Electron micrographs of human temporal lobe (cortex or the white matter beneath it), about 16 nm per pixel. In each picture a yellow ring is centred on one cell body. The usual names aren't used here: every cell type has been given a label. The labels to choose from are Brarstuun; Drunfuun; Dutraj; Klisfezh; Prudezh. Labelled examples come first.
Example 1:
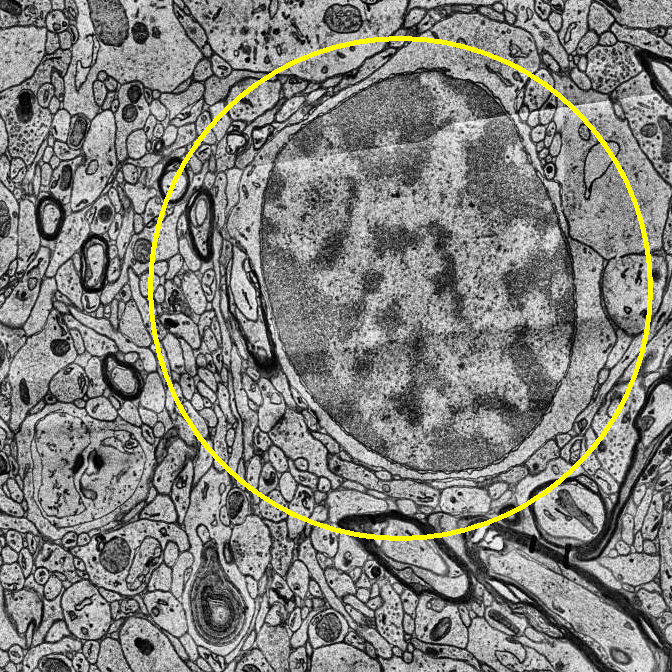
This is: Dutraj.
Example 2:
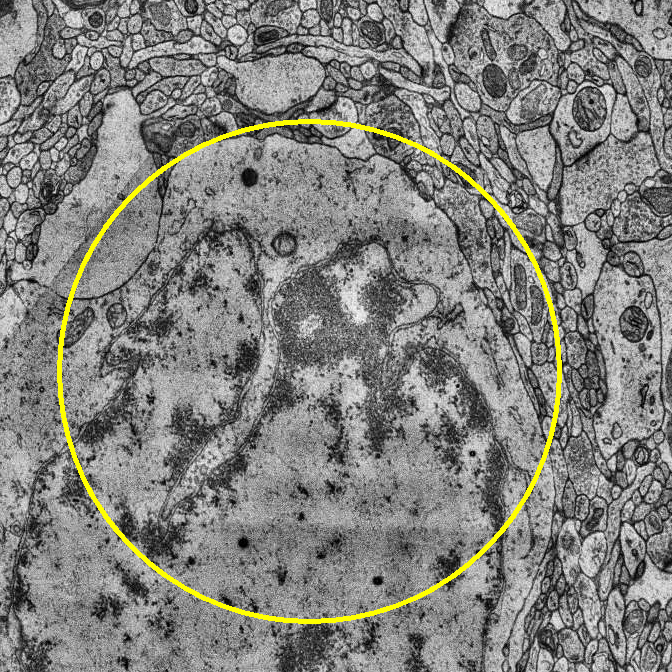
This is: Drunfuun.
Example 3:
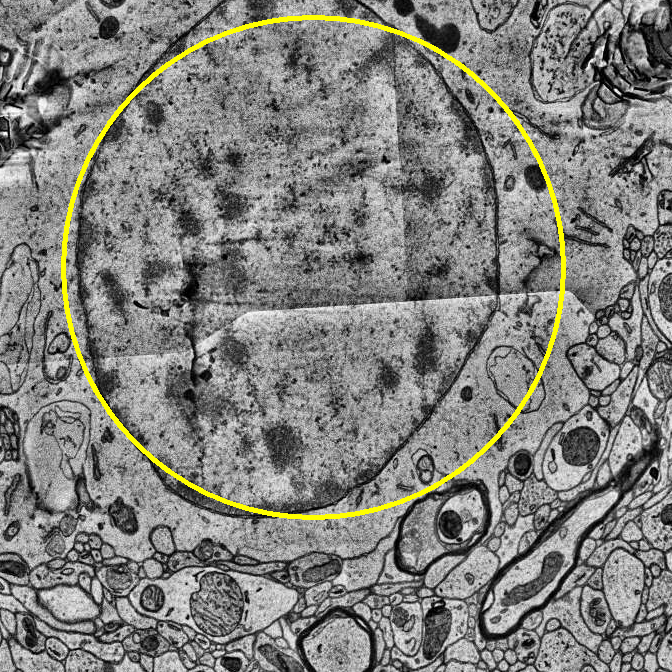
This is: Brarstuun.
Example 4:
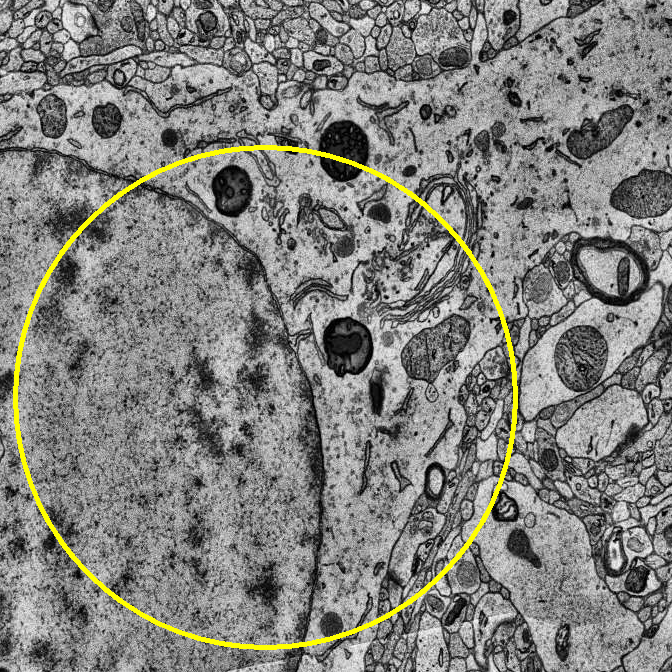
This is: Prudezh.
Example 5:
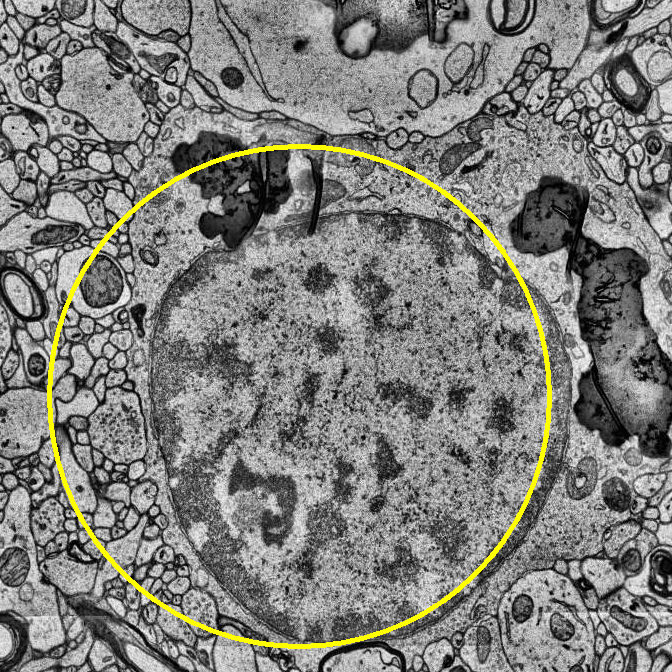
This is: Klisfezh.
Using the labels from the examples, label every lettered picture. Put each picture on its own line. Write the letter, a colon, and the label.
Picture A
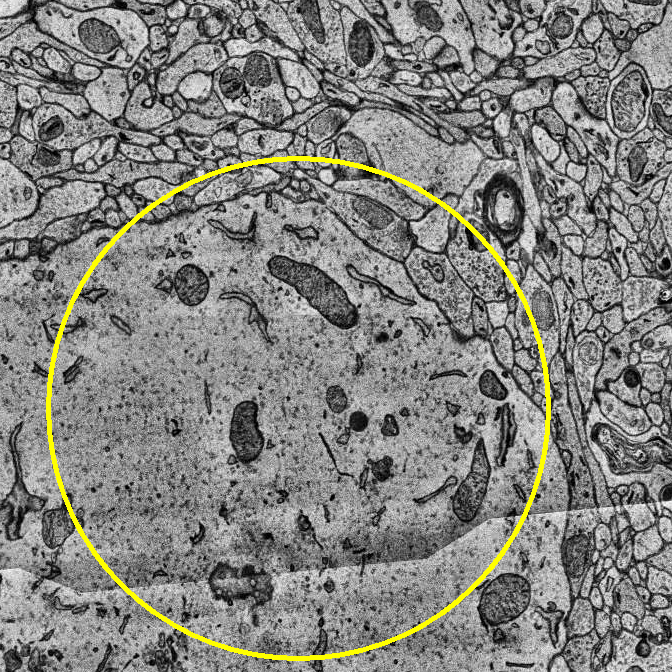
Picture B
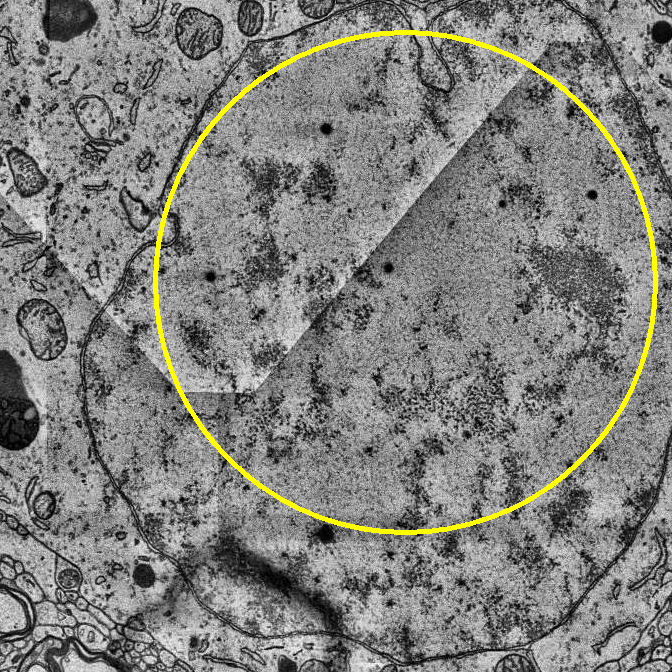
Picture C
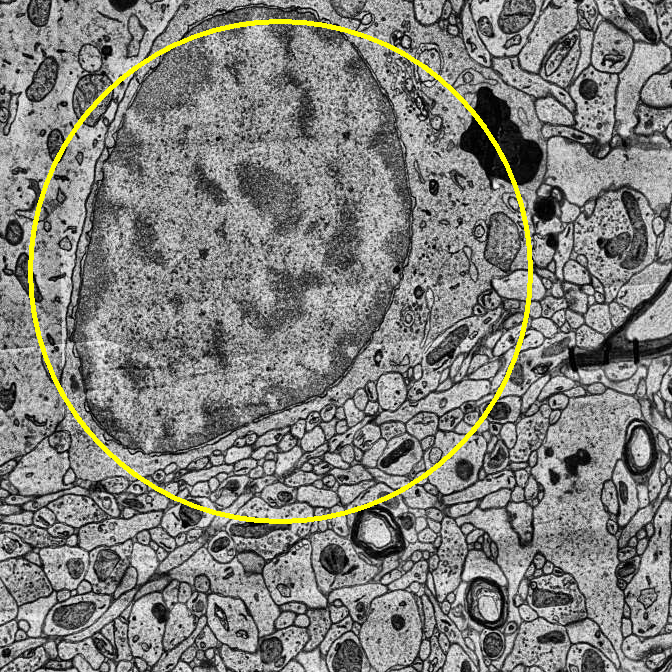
A: Prudezh.
B: Prudezh.
C: Klisfezh.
